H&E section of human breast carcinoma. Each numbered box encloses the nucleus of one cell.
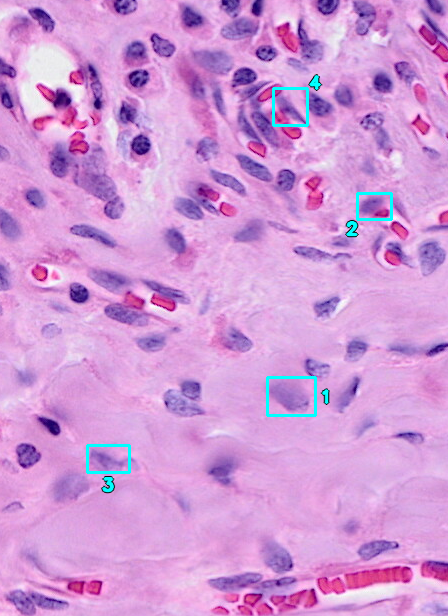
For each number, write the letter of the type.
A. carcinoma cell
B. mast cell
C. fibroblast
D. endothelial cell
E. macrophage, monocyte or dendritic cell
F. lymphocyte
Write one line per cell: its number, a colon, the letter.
1: C
2: D
3: C
4: D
